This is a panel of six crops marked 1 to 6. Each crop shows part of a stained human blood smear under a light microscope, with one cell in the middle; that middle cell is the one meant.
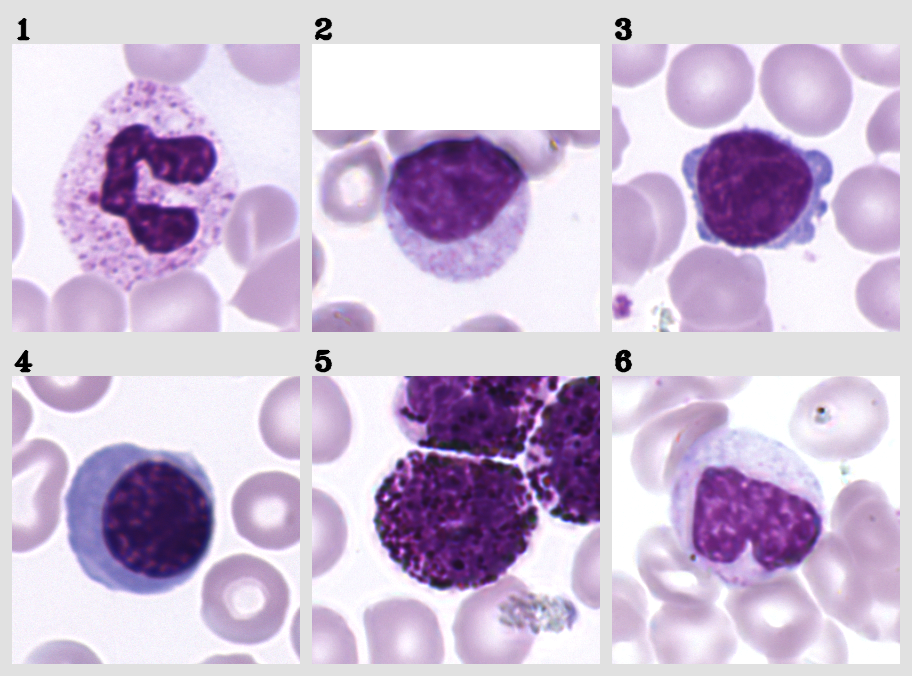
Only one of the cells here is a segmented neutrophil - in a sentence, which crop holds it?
It is in crop 1, among all the crops, that a segmented neutrophil is present.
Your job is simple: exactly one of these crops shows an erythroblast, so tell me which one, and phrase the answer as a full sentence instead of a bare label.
Within this set, crop 4 is the one with an erythroblast at its center.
